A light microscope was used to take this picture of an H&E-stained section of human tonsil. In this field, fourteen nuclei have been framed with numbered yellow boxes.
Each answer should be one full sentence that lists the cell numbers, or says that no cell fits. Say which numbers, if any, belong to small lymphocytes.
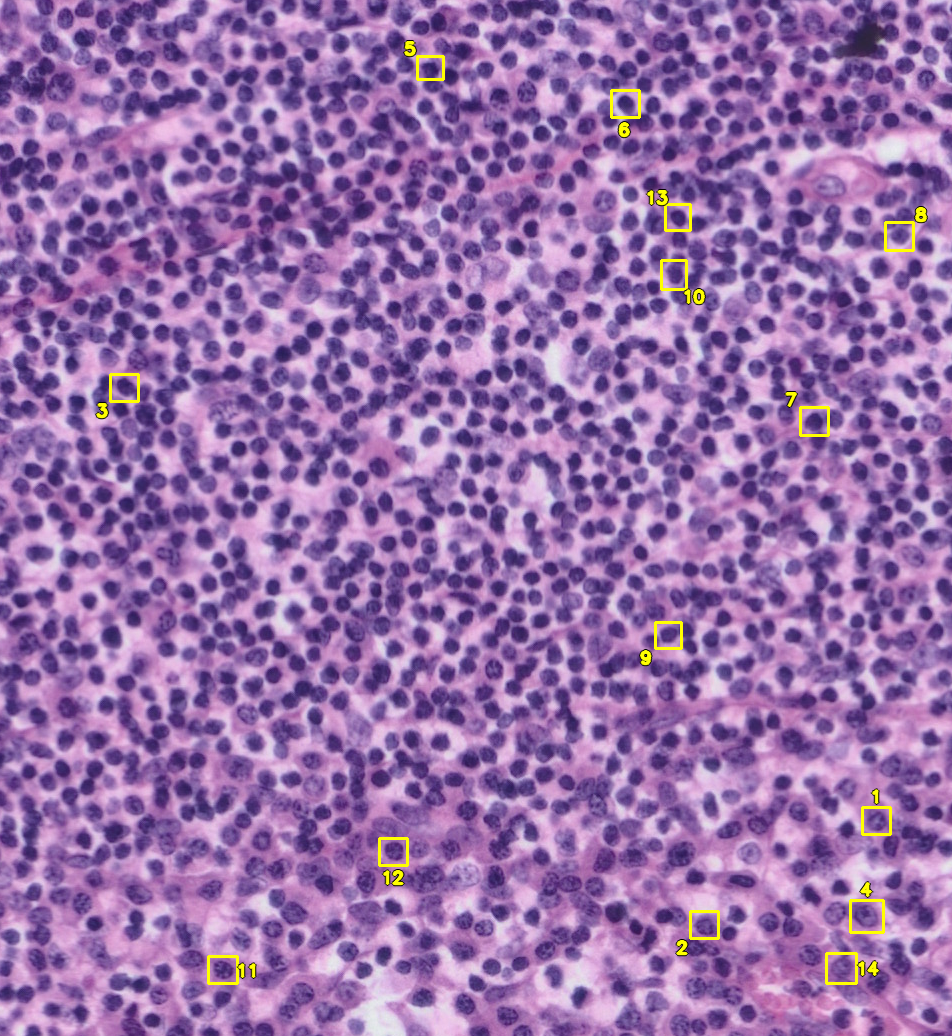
Identified as small lymphocytes are the cells numbered 3, 5, 6, 7, 8, 9, 10 and 13.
